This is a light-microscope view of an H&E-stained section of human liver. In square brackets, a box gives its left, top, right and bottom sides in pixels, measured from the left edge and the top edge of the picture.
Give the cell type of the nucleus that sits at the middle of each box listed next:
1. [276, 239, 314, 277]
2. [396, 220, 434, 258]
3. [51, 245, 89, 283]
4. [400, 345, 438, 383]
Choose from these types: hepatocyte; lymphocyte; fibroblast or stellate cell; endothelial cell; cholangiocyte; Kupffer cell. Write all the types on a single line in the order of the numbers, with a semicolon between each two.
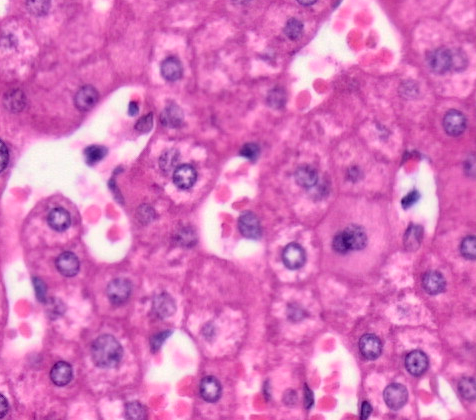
hepatocyte; Kupffer cell; hepatocyte; hepatocyte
